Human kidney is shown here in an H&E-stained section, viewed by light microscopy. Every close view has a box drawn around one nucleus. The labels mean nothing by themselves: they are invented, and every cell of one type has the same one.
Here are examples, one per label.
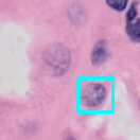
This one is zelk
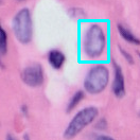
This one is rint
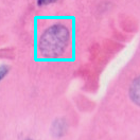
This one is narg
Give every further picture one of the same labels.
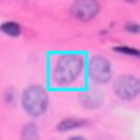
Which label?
rint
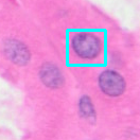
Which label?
narg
